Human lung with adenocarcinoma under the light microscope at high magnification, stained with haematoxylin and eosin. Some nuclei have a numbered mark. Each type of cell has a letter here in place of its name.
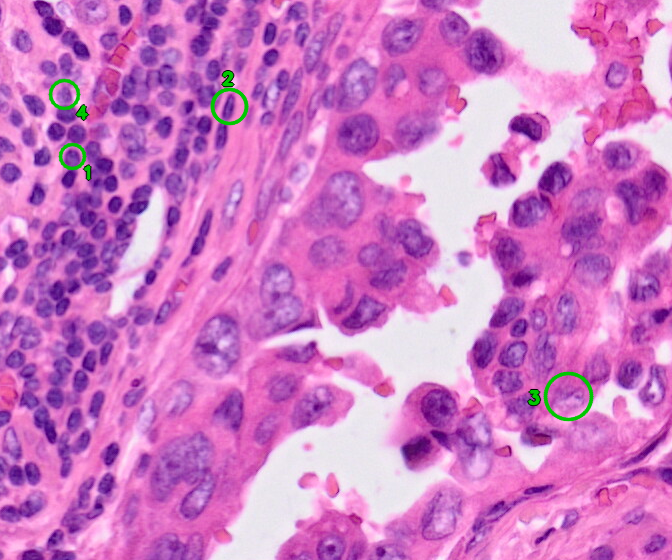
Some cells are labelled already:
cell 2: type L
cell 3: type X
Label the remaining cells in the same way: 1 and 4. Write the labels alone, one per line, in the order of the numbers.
type L
type L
